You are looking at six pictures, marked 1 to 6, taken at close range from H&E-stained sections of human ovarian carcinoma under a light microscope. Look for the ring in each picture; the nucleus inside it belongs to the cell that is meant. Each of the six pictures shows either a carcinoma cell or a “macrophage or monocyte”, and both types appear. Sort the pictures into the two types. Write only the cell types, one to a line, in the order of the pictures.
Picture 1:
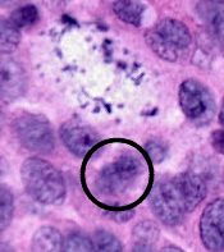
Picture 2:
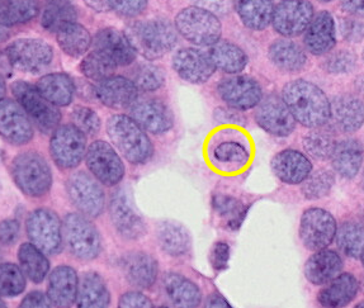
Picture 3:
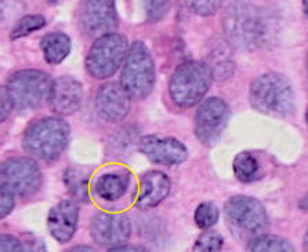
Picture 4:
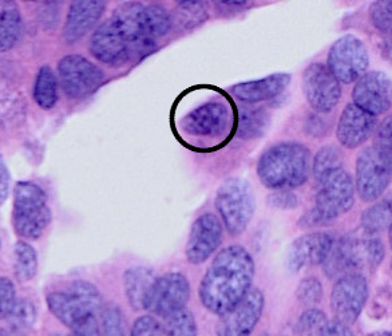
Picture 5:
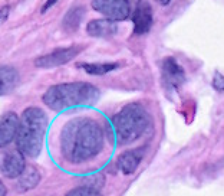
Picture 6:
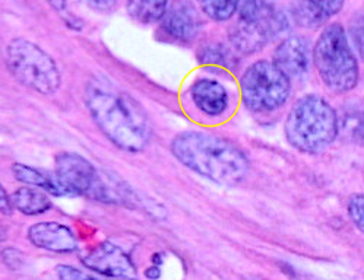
carcinoma cell
macrophage or monocyte
macrophage or monocyte
carcinoma cell
carcinoma cell
macrophage or monocyte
